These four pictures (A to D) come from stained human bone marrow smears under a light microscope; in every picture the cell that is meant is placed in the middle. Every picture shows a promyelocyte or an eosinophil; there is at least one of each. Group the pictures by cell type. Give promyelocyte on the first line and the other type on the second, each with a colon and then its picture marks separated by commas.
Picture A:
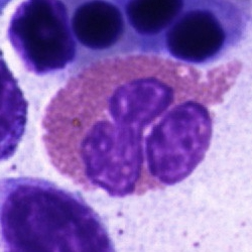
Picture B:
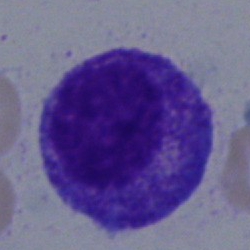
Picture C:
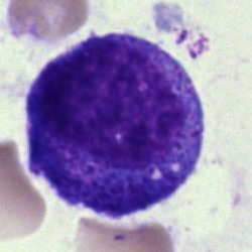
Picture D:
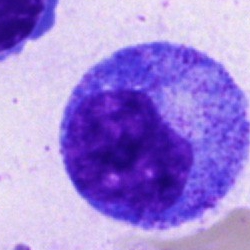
promyelocyte: B, C, D
eosinophil: A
